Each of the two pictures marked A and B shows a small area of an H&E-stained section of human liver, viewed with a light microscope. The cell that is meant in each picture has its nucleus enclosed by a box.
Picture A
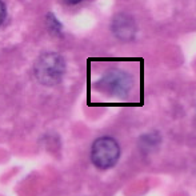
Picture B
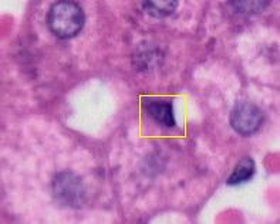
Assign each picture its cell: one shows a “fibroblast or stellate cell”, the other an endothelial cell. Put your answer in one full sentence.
In picture A the cell is an endothelial cell; in picture B, a “fibroblast or stellate cell”.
